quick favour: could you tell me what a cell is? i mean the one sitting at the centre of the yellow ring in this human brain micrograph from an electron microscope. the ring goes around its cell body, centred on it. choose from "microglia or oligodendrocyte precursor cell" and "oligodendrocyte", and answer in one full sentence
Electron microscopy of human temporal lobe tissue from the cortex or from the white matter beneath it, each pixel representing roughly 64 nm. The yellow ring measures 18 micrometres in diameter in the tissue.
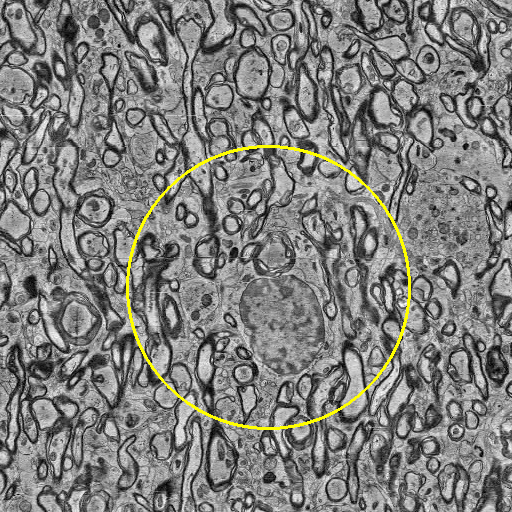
That's a microglial cell or oligodendrocyte precursor cell, the cell sitting at the centre of the yellow ring.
